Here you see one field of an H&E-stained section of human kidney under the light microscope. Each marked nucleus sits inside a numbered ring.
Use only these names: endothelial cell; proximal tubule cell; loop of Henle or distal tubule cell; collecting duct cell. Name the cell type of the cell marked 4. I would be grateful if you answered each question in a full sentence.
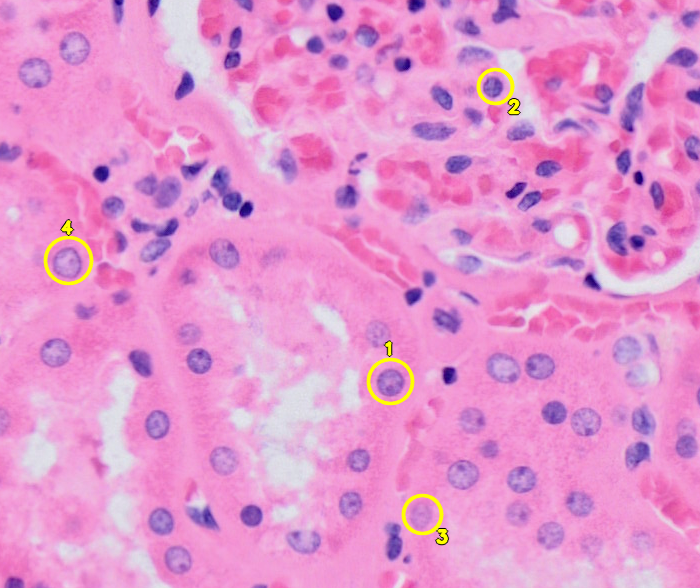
The correct label for cell 4 is a proximal tubule cell.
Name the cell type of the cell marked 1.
The correct answer for cell 1 is a proximal tubule cell.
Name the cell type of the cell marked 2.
That cell with number 2 is an endothelial cell.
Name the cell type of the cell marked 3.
Corresponding to a proximal tubule cell is the cell labelled 3.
